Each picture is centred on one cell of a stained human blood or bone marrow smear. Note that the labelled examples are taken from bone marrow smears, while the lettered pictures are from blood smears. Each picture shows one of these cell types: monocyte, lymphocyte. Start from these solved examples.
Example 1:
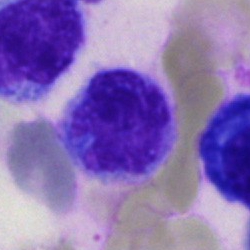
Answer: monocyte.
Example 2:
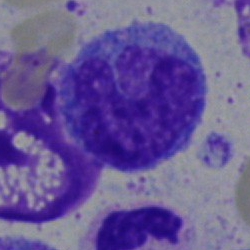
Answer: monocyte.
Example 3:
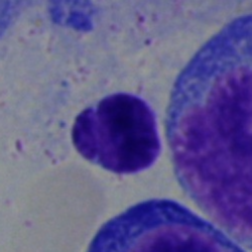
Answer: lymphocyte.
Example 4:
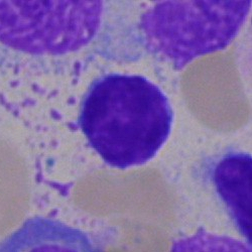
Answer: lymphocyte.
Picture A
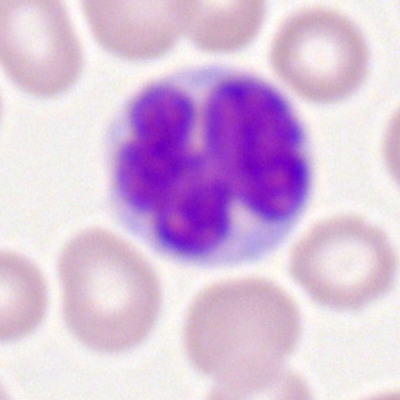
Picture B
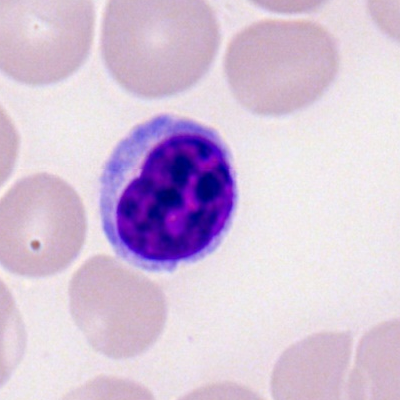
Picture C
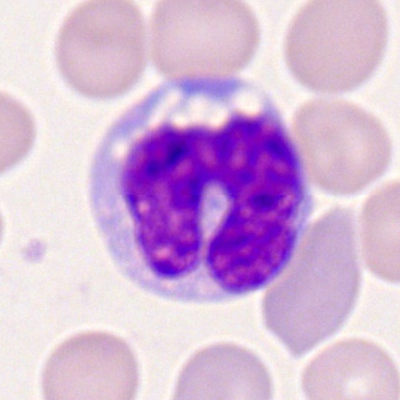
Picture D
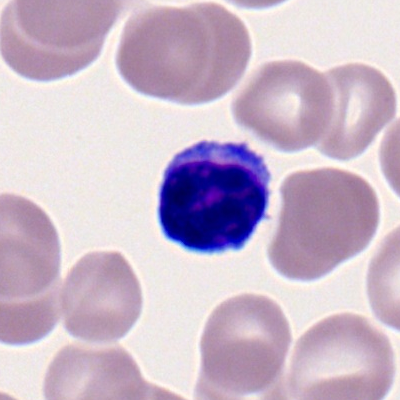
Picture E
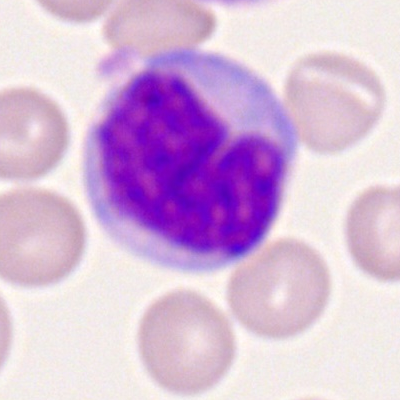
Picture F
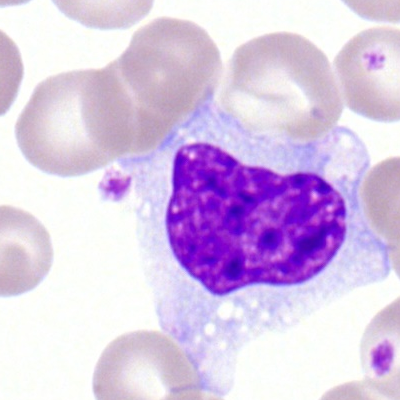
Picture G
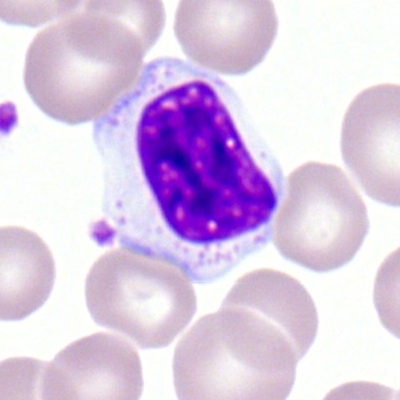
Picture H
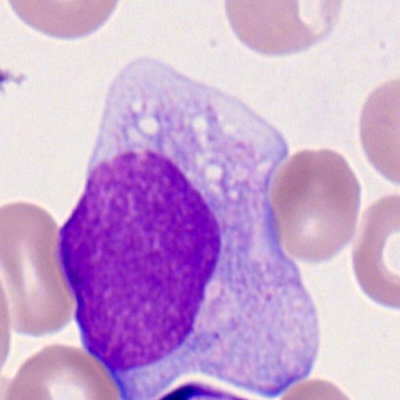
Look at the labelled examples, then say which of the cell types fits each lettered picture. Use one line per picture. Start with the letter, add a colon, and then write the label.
A: monocyte.
B: lymphocyte.
C: monocyte.
D: lymphocyte.
E: monocyte.
F: monocyte.
G: lymphocyte.
H: monocyte.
